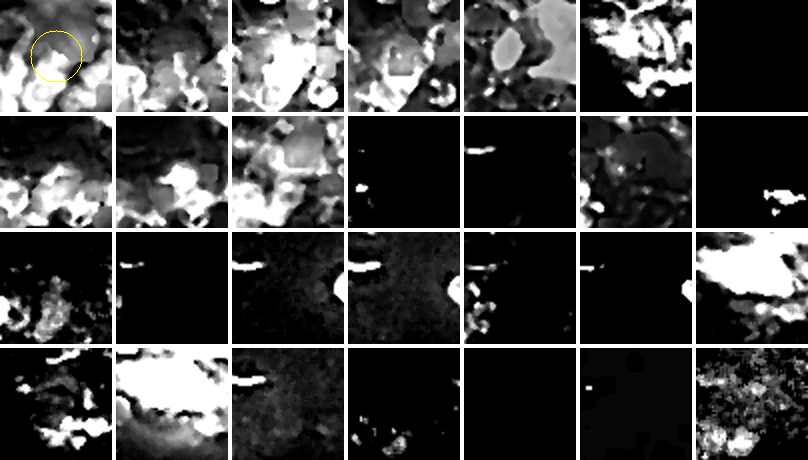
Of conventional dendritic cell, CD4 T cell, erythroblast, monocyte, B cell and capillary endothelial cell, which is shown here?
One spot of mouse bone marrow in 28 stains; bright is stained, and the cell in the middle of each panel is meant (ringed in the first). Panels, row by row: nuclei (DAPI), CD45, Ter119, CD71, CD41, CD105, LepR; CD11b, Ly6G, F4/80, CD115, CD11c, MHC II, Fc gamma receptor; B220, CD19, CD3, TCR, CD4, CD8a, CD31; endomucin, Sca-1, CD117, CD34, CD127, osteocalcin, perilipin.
erythroblast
